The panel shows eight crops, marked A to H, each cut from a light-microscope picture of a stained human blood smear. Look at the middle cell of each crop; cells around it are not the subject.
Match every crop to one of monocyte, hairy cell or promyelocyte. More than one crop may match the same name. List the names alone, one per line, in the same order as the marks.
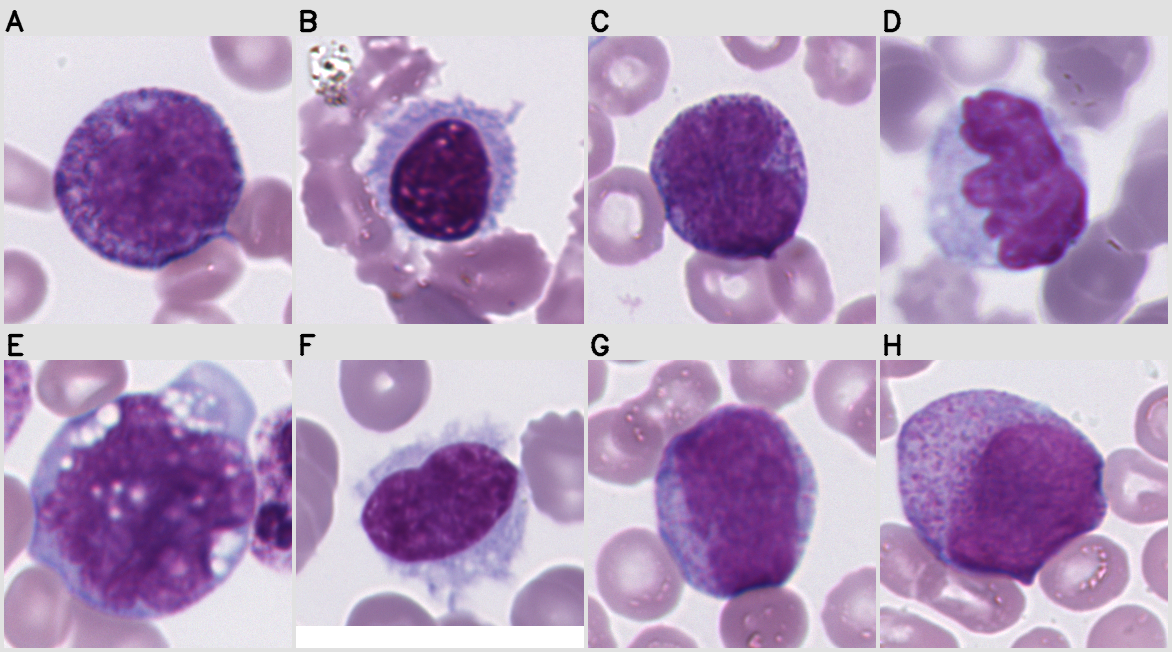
promyelocyte
hairy cell
promyelocyte
monocyte
monocyte
hairy cell
promyelocyte
promyelocyte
